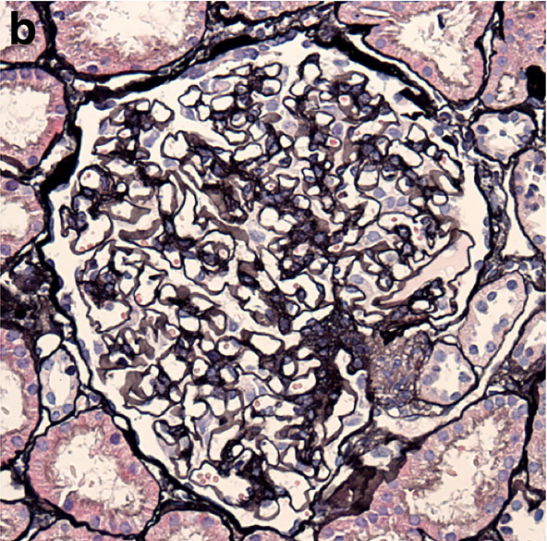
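Here a whole glomerulus fills the middle of the field, its lobulated capillary tuft held inside a thin black Bowman's capsule. Tubules with pink epithelial cells and blue nuclei lie all around it. Between the loops, in the central stalks, the mesangial areas hold slightly more blue nuclei than usual. The black-stained matrix in those areas is not much widened. The urinary space between the tuft and the capsule is clear.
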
